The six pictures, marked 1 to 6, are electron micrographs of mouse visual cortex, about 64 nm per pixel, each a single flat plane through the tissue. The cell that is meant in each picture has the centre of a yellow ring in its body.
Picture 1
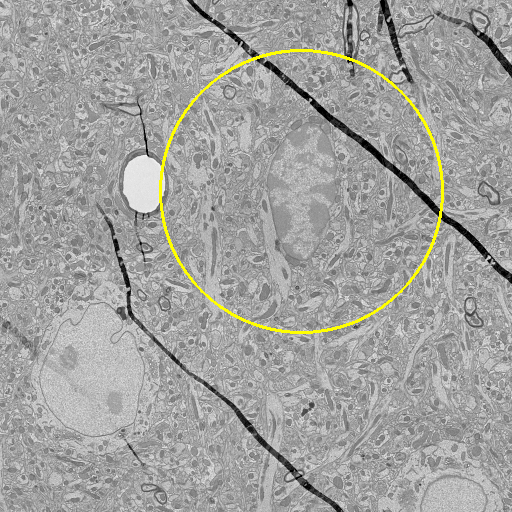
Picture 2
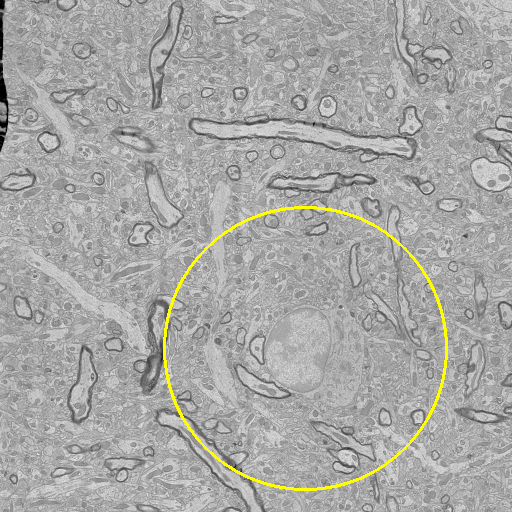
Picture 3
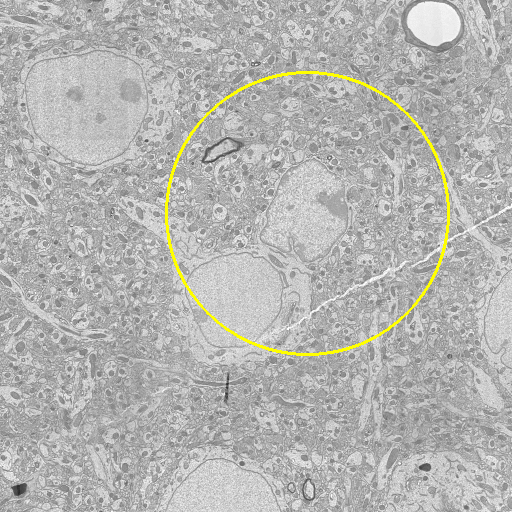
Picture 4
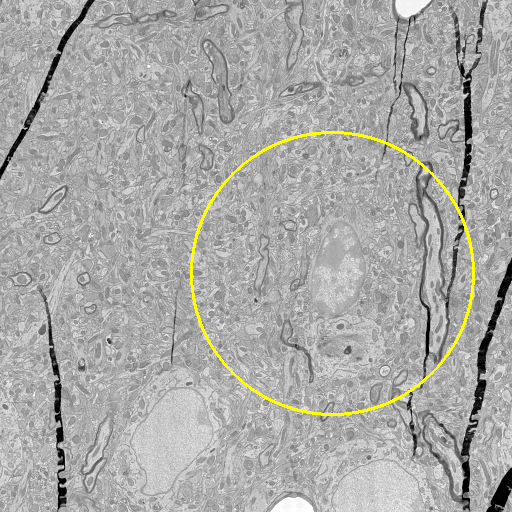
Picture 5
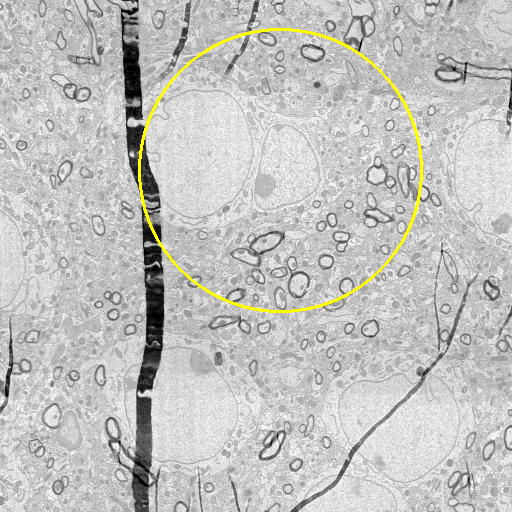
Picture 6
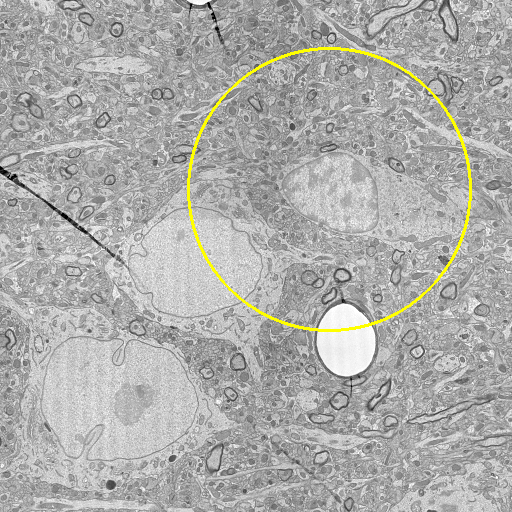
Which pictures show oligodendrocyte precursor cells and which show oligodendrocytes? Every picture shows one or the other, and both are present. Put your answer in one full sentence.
Pictures 3 and 5 show oligodendrocyte precursor cells, while pictures 1, 2, 4 and 6 show oligodendrocytes.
